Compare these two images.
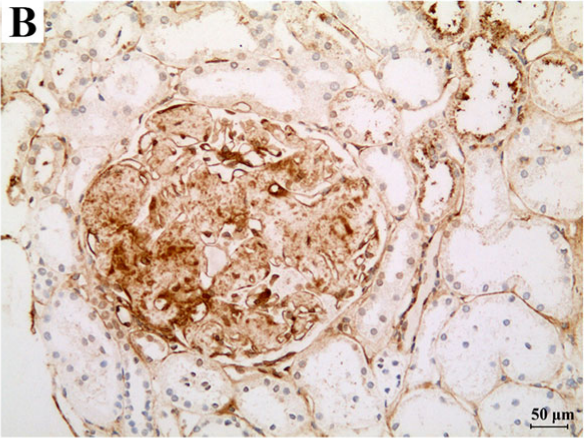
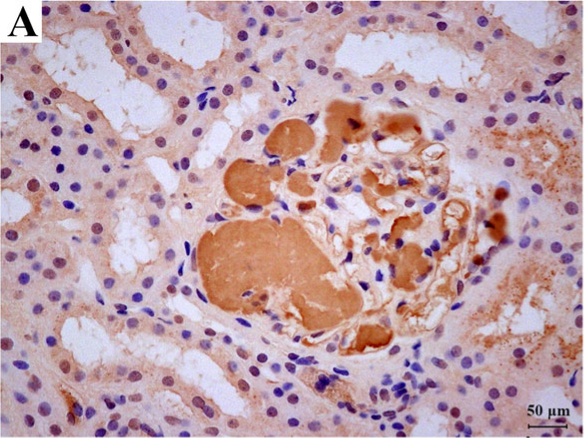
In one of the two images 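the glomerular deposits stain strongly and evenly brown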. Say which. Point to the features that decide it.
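First image: the glomerulus shows a patchy, granular, mottled brown stain of moderate intensity. Second image: the glomerular masses are solid, homogeneous and deep brown.
The second image.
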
